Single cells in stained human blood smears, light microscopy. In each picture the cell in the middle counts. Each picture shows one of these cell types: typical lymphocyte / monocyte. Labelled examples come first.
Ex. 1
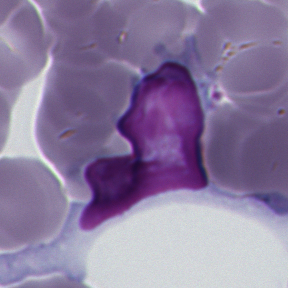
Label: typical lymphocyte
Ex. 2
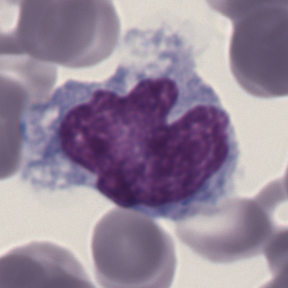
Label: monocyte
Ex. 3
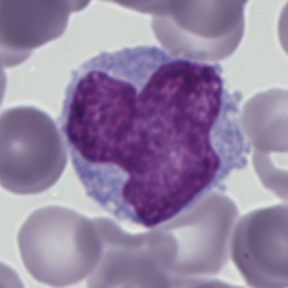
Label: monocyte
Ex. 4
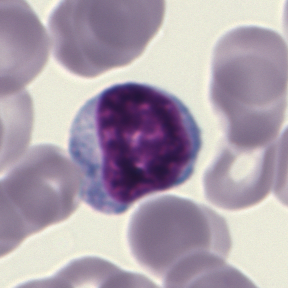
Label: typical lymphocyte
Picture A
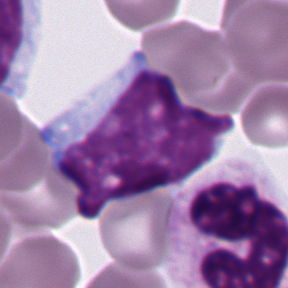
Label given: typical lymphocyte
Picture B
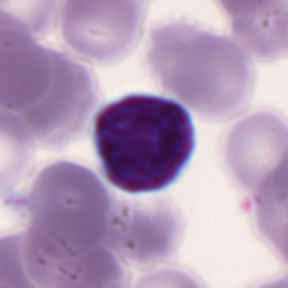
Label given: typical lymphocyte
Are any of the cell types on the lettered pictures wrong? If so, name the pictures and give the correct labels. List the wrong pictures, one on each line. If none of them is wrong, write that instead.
All labels are correct.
